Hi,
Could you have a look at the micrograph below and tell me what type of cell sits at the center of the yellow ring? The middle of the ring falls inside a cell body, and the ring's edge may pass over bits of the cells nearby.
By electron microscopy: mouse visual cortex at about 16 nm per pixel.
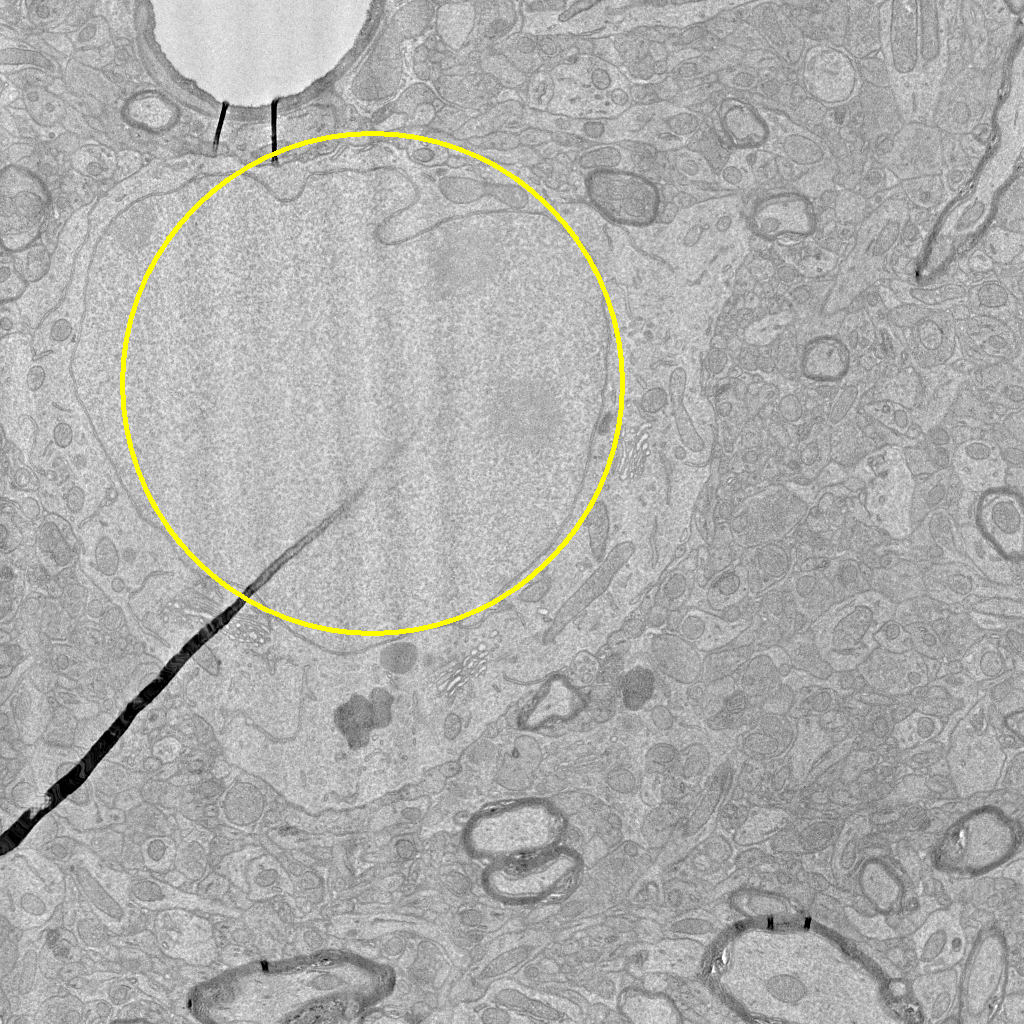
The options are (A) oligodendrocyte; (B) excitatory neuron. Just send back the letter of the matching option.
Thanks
B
